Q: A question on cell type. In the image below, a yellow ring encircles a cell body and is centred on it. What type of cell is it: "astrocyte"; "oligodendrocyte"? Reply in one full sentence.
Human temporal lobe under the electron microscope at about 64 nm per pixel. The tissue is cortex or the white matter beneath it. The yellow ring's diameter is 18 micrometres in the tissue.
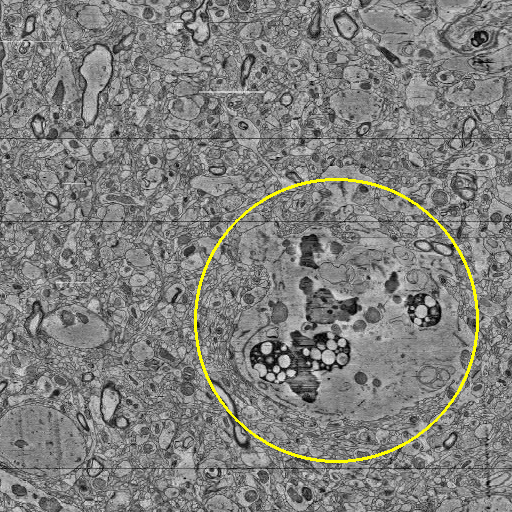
It is an astrocyte whose cell body sits at the centre of the yellow ring in the image.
